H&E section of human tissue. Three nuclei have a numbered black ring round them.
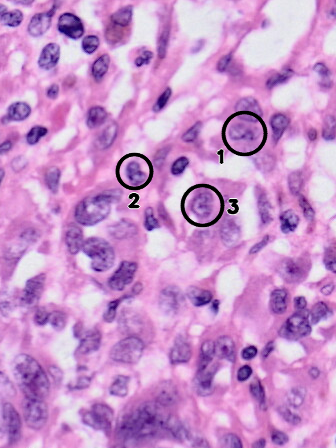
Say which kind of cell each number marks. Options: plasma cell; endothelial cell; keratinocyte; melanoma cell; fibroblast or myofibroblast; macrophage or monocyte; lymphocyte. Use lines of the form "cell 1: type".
cell 1: melanoma cell
cell 2: lymphocyte
cell 3: melanoma cell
